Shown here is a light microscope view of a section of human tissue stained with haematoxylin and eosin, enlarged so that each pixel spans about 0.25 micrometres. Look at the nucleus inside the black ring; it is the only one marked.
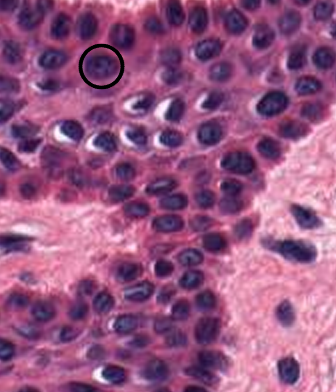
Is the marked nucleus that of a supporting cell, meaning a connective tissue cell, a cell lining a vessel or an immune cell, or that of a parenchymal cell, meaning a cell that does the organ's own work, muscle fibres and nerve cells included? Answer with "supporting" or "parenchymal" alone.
parenchymal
